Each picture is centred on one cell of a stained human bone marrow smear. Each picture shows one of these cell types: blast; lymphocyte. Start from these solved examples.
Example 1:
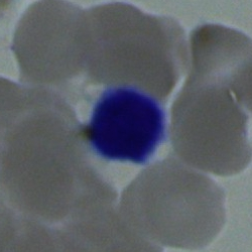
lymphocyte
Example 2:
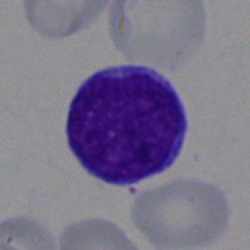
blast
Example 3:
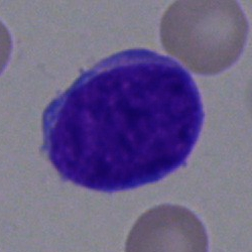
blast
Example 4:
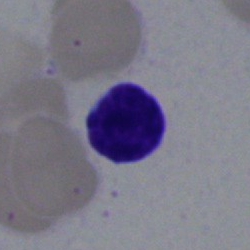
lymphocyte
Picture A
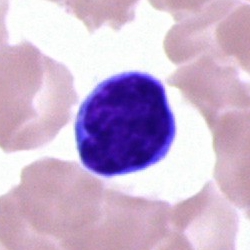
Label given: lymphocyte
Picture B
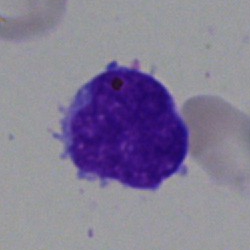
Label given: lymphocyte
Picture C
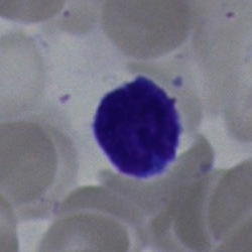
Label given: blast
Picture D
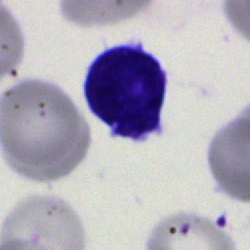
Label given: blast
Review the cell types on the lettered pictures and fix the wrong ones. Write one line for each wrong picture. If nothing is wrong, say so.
B: change lymphocyte to blast
C: change blast to lymphocyte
